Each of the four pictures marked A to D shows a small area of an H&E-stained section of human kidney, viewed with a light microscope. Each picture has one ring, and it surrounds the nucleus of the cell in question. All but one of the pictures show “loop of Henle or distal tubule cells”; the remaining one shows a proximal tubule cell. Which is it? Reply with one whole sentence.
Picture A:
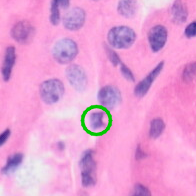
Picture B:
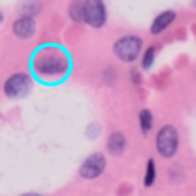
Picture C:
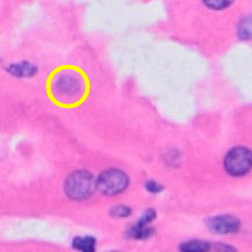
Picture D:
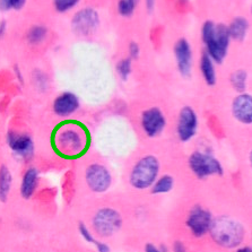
It is picture C that shows the proximal tubule cell.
